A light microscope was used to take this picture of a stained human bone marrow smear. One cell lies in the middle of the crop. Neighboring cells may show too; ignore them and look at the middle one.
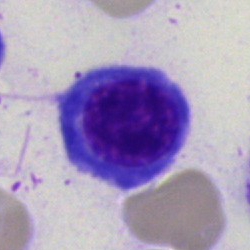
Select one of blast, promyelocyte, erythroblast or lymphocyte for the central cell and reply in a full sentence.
Looking at the middle of the crop, the cell there is an erythroblast.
